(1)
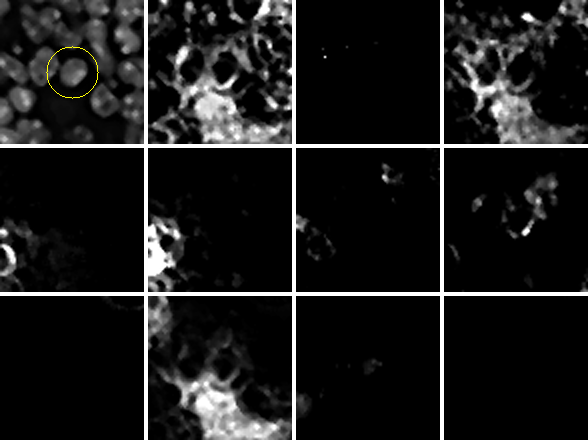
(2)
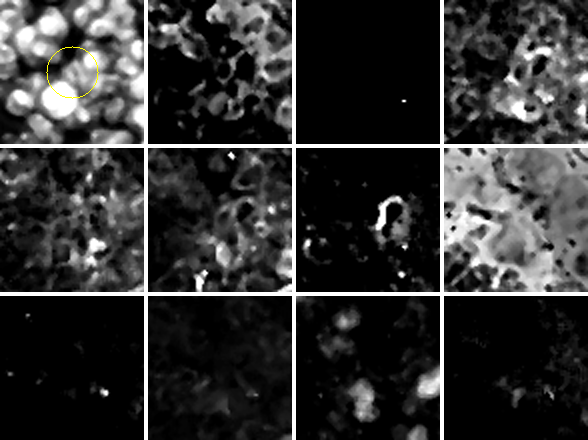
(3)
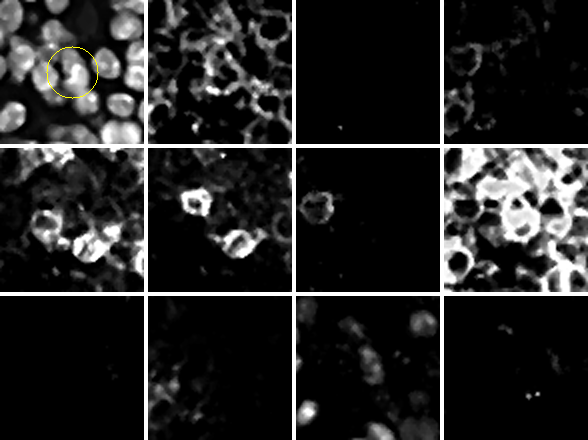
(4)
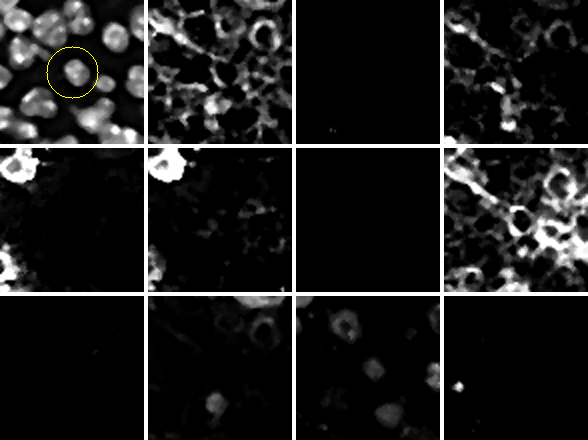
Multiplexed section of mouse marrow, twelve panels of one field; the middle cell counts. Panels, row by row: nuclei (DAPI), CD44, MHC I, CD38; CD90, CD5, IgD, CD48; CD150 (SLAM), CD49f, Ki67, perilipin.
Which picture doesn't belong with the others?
Picture 1.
